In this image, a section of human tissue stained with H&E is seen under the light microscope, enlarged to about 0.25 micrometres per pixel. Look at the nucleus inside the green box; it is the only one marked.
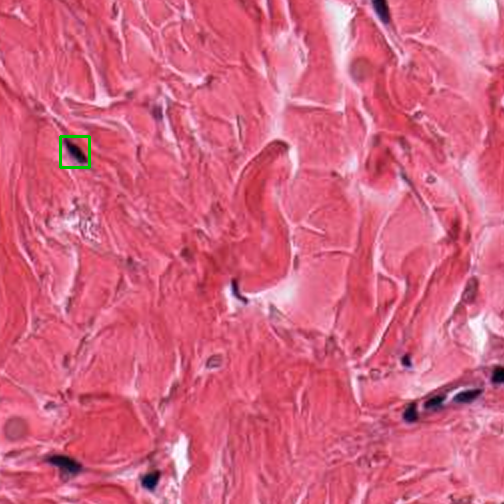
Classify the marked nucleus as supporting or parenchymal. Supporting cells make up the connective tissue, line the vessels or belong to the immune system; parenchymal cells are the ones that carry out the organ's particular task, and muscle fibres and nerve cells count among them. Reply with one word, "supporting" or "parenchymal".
supporting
